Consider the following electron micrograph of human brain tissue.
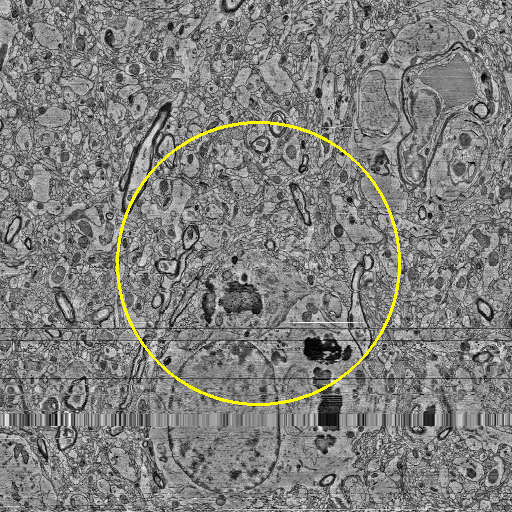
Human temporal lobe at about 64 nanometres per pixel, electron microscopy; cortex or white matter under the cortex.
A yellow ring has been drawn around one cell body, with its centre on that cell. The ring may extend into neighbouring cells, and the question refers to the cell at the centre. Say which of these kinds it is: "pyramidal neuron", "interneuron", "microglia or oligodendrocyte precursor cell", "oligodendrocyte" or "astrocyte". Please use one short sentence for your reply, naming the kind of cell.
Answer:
The centre of the ring falls on an oligodendrocyte.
